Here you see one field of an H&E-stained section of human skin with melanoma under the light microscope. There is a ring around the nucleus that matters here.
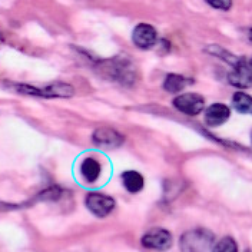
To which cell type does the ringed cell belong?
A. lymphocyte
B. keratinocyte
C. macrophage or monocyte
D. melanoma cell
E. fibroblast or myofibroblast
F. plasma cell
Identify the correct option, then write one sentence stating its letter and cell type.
Option A matches the ringed cell, which is a lymphocyte.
